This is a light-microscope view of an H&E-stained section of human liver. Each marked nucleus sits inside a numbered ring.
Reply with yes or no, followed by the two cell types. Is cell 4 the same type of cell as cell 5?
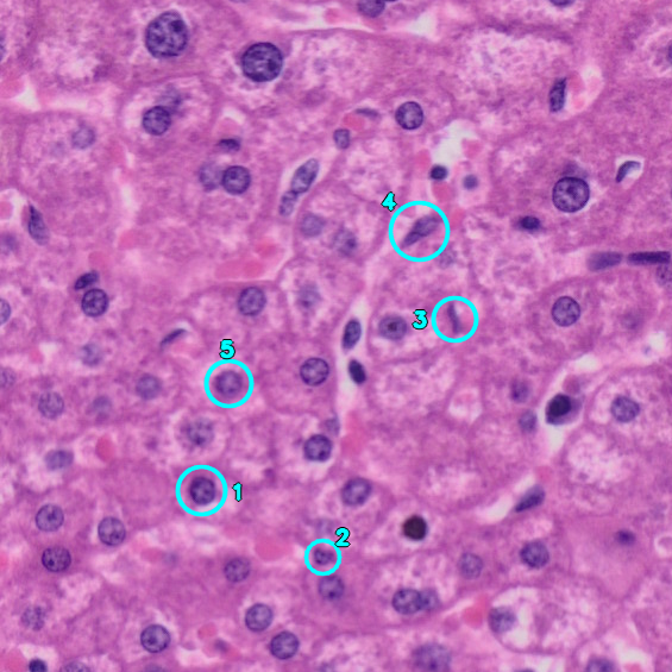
No, that's off: cell 4 is a Kupffer cell and cell 5 is a hepatocyte.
